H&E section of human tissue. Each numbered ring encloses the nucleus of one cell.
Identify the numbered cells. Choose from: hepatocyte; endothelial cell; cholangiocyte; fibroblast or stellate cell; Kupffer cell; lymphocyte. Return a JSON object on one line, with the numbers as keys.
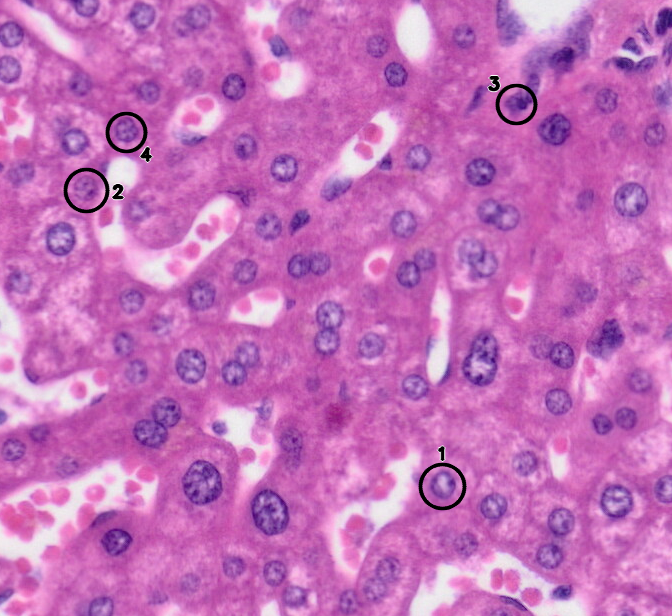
{"1": "hepatocyte", "2": "hepatocyte", "3": "fibroblast or stellate cell", "4": "hepatocyte"}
